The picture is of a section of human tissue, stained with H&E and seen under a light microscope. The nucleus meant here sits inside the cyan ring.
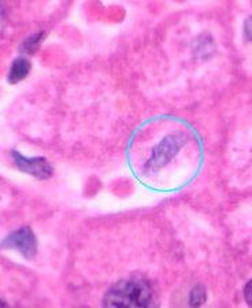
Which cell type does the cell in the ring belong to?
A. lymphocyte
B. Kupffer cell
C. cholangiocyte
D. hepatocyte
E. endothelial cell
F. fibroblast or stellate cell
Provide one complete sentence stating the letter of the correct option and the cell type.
In this item, the cell in the ring is a Kupffer cell, and option B is right.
